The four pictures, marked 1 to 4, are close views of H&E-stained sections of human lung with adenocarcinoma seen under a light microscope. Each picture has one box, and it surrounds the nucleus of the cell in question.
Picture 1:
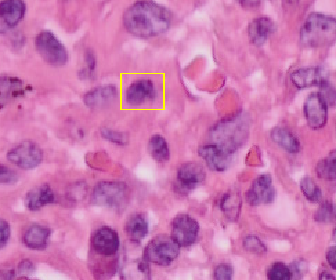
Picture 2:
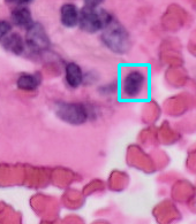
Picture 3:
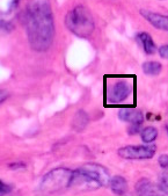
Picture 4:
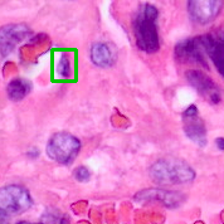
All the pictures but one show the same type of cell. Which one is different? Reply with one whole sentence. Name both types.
Picture 4 differs, because its cell is an endothelial cell and the rest are lymphocytes.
